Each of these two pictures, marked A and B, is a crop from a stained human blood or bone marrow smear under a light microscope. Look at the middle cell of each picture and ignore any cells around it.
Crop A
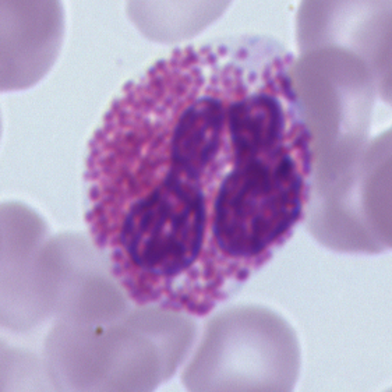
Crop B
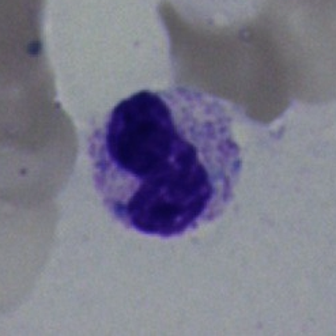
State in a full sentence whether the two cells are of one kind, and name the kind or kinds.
No, the cell centred in crop B is a neutrophil; crop A centres on an eosinophil.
